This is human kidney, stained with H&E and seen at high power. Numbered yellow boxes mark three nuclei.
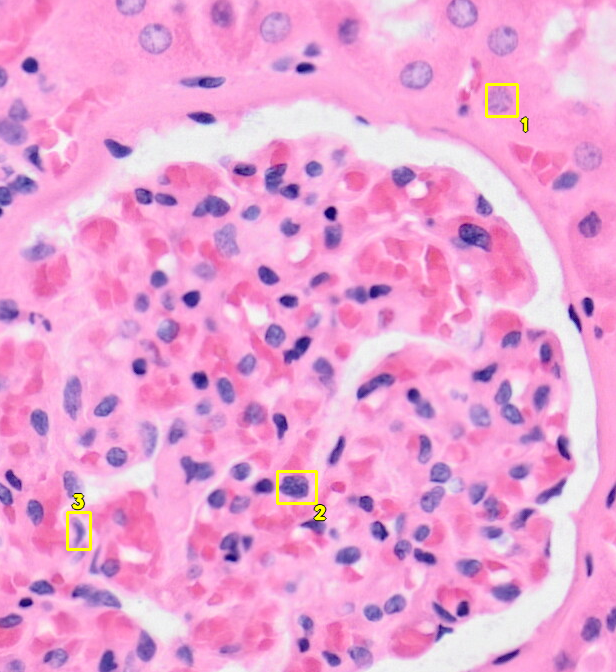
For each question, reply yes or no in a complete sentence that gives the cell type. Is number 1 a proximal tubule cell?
Yes, the cell with its nucleus marked 1 is a proximal tubule cell.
